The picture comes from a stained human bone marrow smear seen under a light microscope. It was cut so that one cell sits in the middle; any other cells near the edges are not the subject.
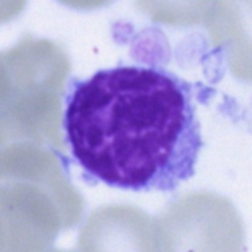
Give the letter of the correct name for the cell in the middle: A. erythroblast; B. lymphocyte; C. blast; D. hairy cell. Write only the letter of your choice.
D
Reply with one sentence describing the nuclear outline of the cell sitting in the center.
Just one compact nuclear mass here, round, oval or kidney-shaped.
